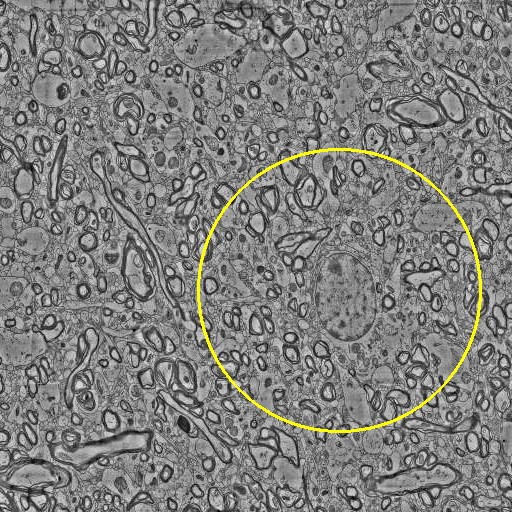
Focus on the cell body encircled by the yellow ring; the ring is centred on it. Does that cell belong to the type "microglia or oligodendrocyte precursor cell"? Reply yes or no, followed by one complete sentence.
Yes, that type fits the cell lying at the centre of the ring in the picture.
